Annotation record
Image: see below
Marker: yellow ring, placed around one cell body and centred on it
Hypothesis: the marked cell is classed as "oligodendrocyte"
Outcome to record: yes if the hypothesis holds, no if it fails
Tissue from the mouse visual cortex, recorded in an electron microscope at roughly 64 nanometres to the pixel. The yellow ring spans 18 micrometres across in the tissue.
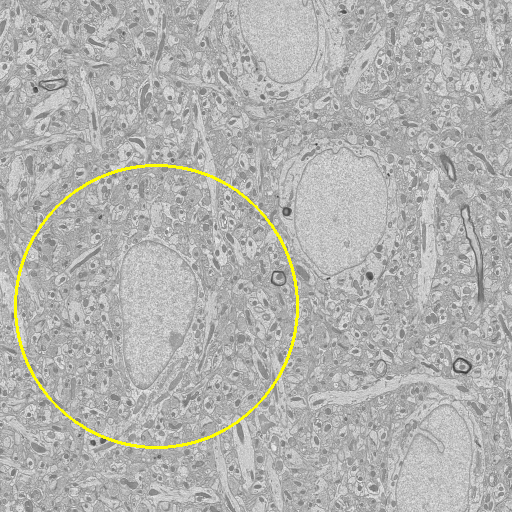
no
